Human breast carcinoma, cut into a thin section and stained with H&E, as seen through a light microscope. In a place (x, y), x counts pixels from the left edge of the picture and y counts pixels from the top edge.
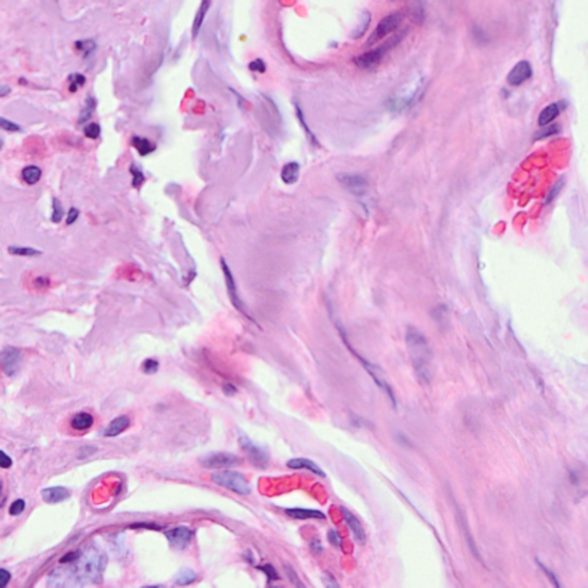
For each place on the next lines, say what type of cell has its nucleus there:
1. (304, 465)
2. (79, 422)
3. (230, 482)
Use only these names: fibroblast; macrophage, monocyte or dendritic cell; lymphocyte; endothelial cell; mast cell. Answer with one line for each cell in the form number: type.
1: endothelial cell
2: mast cell
3: endothelial cell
